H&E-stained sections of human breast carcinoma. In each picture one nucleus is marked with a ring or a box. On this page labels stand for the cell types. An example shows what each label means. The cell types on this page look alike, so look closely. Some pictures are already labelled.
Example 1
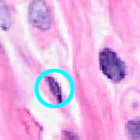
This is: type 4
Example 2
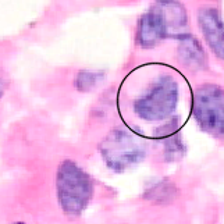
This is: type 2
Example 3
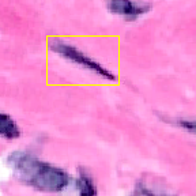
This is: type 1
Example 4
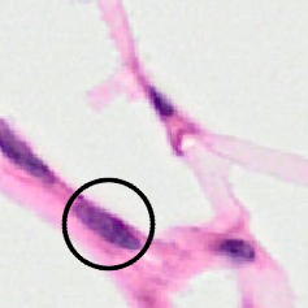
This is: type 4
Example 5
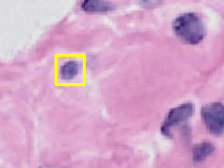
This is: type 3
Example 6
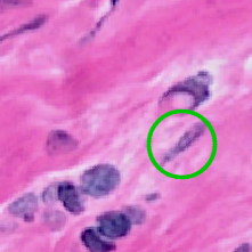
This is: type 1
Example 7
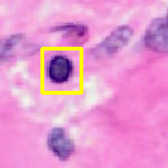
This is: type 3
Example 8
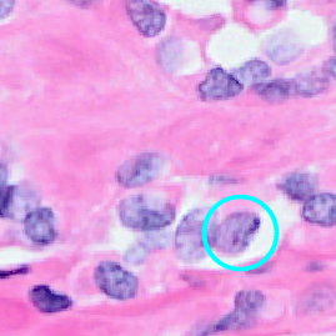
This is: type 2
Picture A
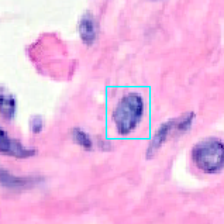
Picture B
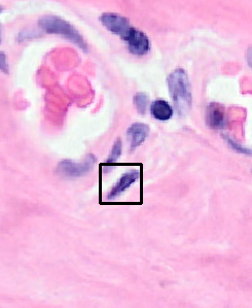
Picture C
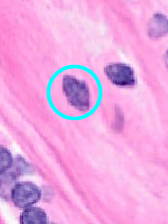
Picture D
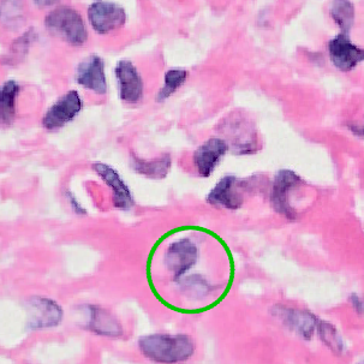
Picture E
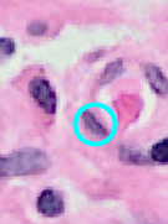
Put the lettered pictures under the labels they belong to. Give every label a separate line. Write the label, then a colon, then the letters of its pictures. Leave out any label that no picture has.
type 4: A, E
type 1: B, D
type 3: C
